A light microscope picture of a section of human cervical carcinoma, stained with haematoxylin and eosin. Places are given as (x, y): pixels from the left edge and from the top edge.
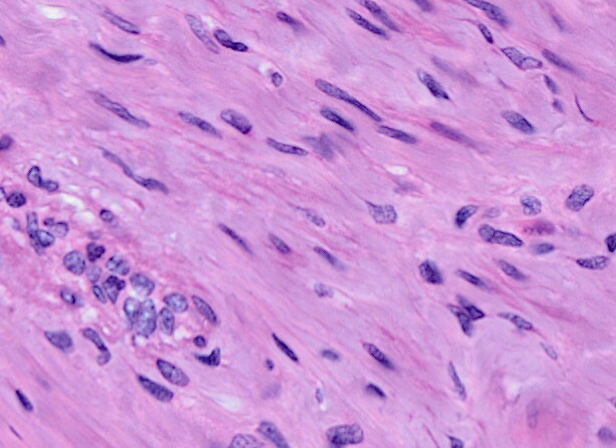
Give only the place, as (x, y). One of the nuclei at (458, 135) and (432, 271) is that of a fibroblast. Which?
(432, 271)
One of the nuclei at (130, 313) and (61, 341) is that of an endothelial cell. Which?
(130, 313)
